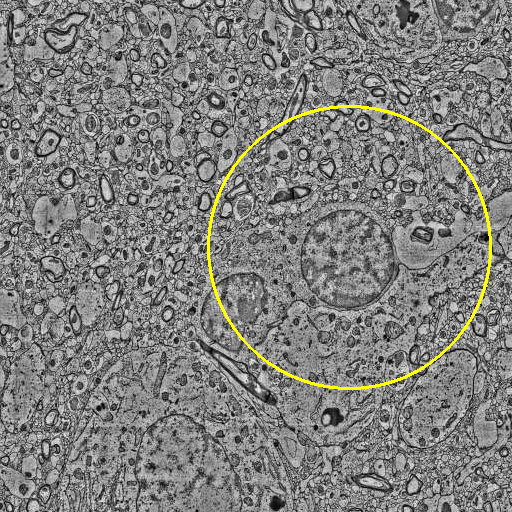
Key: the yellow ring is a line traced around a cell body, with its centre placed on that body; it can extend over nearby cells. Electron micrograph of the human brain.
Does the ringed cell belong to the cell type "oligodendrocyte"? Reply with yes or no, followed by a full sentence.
Yes, the cell at the centre of the yellow ring in the picture is of that type.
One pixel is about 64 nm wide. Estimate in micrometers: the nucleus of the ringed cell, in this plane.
About 6 micrometres across in this plane, for the nucleus.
